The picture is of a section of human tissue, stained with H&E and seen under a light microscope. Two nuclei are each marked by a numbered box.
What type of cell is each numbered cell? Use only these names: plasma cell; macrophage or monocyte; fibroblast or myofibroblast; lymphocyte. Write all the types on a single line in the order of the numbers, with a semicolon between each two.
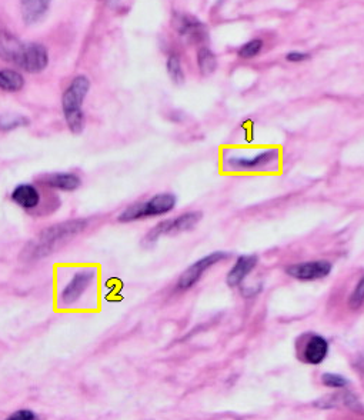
fibroblast or myofibroblast; macrophage or monocyte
